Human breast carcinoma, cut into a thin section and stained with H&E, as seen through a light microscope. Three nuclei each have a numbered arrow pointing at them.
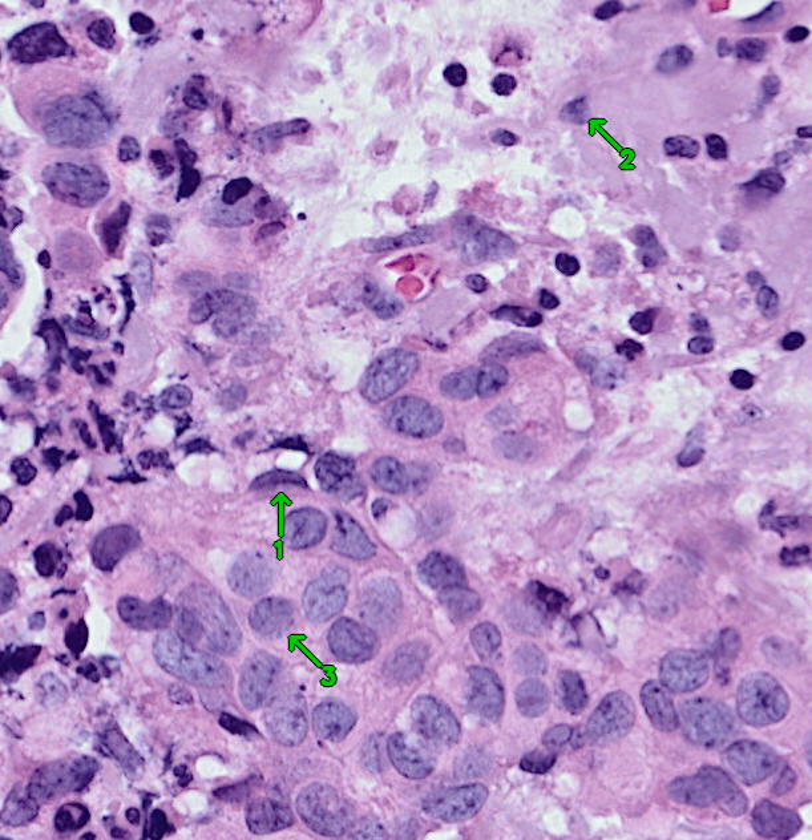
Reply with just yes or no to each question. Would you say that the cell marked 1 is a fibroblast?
no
